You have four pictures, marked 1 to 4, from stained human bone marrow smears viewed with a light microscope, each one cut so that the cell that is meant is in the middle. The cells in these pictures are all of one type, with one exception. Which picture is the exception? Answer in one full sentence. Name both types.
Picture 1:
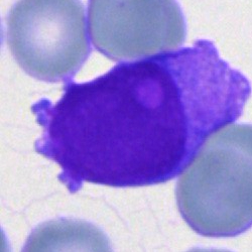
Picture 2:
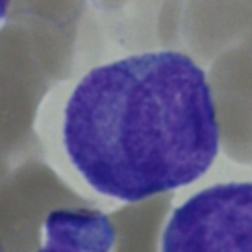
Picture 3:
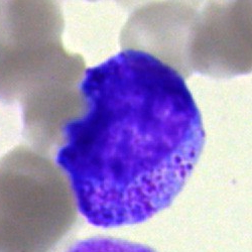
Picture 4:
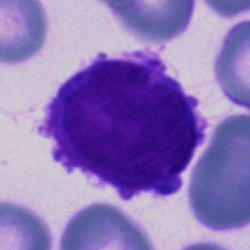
Picture 3 is the odd one out: it shows a promyelocyte, while the others show blasts.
